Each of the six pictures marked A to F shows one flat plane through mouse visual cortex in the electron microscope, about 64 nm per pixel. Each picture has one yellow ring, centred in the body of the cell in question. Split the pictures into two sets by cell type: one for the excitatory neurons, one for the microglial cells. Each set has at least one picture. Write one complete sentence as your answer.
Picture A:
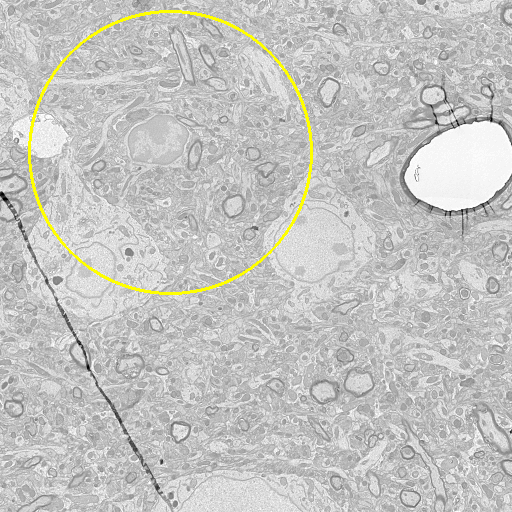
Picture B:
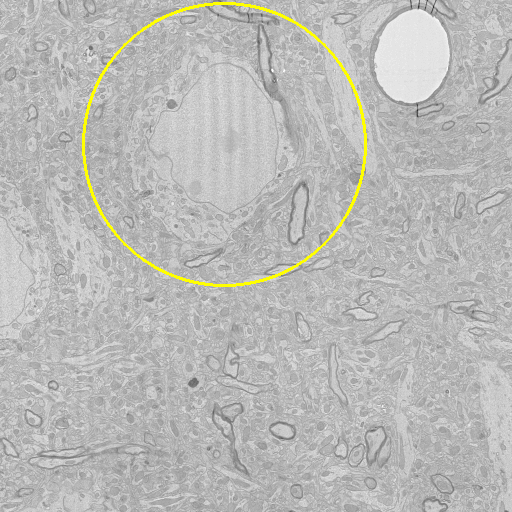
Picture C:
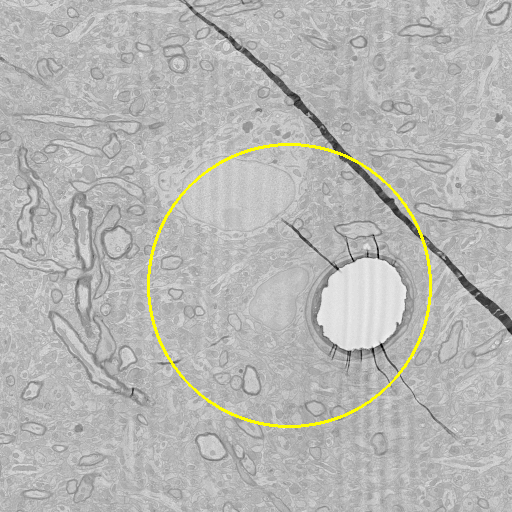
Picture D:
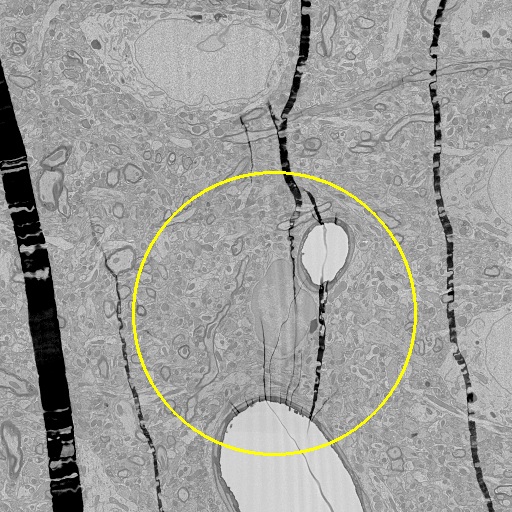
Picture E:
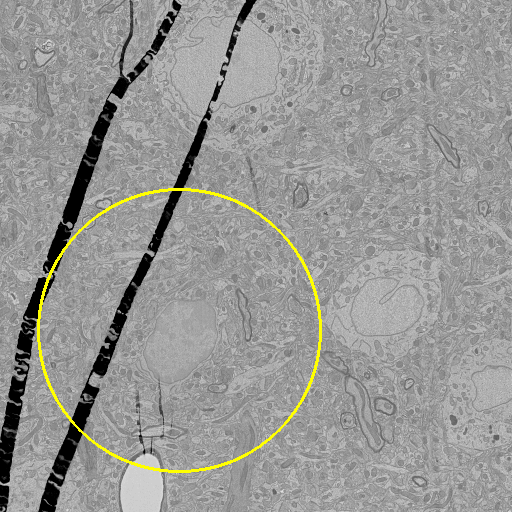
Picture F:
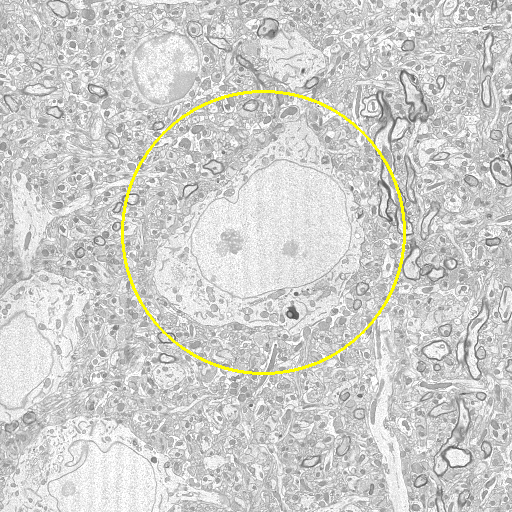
Pictures B and F show excitatory neurons, and pictures A, C, D and E show microglial cells.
